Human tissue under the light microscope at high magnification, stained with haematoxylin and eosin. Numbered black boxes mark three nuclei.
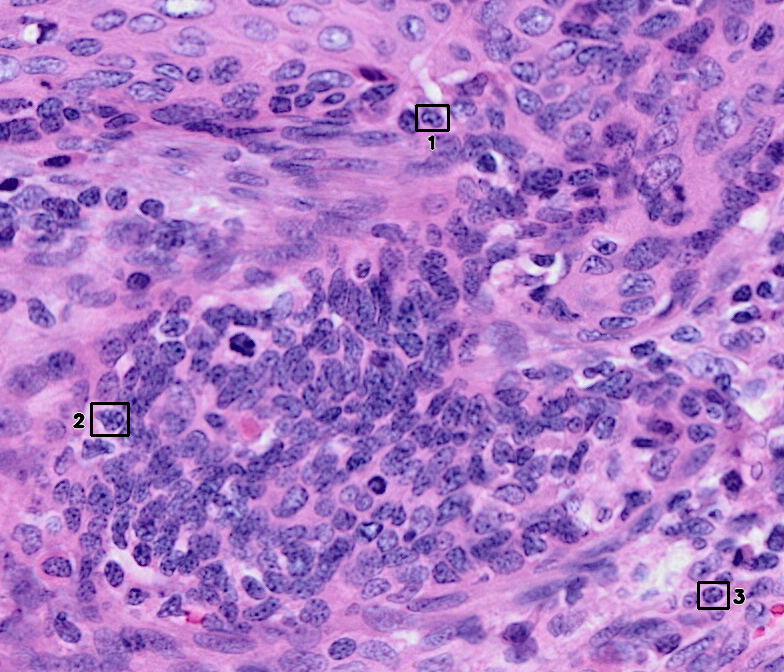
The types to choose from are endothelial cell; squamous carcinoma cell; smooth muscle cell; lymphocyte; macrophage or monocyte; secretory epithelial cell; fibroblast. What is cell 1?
squamous carcinoma cell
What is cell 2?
lymphocyte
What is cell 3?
lymphocyte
